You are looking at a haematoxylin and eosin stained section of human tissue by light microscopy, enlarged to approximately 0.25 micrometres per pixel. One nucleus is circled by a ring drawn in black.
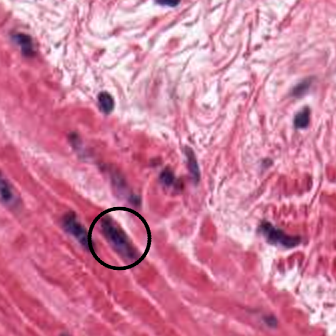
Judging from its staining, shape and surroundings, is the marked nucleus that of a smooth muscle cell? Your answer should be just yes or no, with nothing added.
yes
